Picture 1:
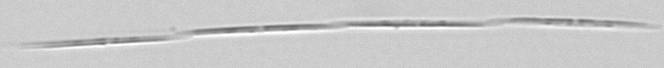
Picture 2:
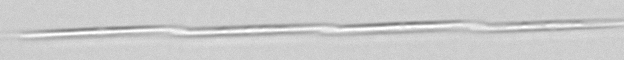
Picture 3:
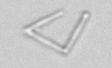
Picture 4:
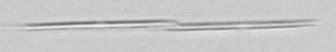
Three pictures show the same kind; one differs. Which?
Picture 3: Nanoneis, while the others are Pseudo-nitzschia.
